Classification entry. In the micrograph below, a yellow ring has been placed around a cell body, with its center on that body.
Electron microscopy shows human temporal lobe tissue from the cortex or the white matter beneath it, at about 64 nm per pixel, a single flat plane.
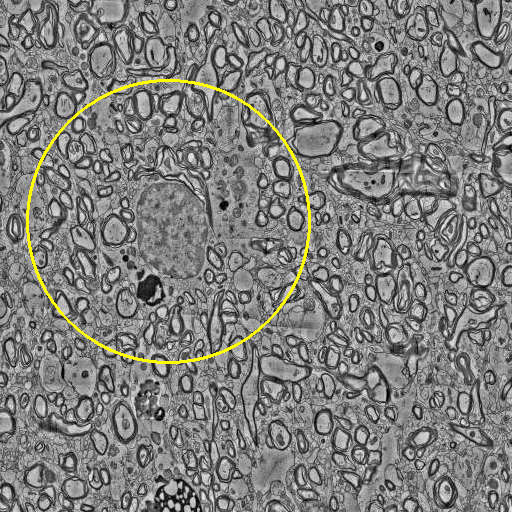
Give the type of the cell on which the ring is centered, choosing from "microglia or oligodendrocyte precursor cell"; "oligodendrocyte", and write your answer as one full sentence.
The cell body at the center of the yellow ring belongs to an oligodendrocyte.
